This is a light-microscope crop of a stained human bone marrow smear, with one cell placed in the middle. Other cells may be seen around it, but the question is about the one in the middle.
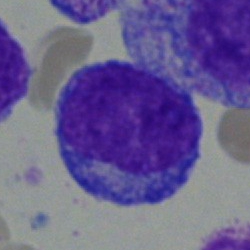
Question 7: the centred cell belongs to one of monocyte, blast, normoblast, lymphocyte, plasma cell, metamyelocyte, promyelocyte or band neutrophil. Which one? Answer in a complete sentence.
The cell centred in this crop is categorized as a blast.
